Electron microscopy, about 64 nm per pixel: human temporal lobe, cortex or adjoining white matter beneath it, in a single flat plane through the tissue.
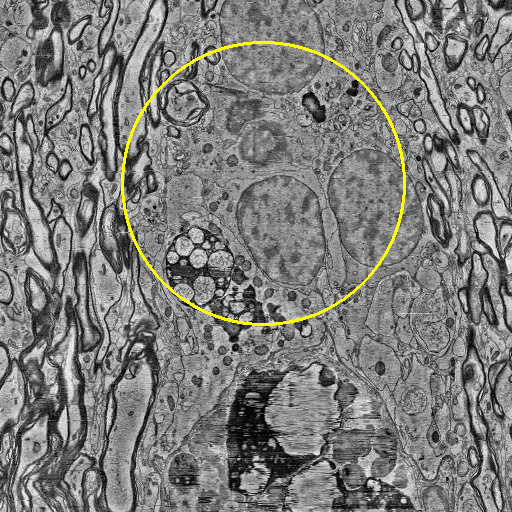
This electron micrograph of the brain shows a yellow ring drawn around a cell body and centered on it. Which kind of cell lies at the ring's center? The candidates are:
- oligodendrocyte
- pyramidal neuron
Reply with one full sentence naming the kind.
The cell lying at the ring's center in this micrograph is an oligodendrocyte.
